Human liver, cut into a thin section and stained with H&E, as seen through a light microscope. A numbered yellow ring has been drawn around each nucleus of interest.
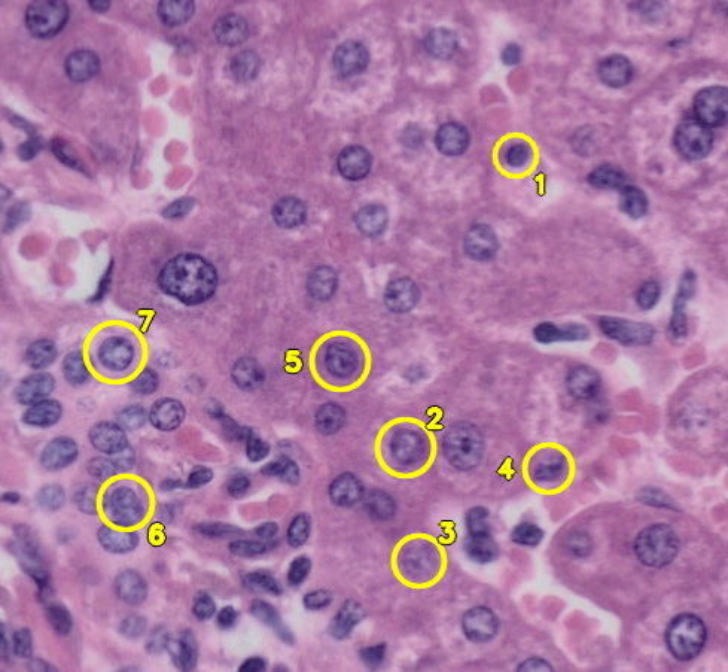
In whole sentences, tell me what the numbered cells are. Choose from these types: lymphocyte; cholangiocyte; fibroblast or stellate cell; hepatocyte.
Cell 1 is a lymphocyte, cell 2 is a hepatocyte, cell 3 is a hepatocyte, cell 4 is a fibroblast or stellate cell, cell 5 is a hepatocyte, cell 6 is a cholangiocyte and cell 7 is a cholangiocyte.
